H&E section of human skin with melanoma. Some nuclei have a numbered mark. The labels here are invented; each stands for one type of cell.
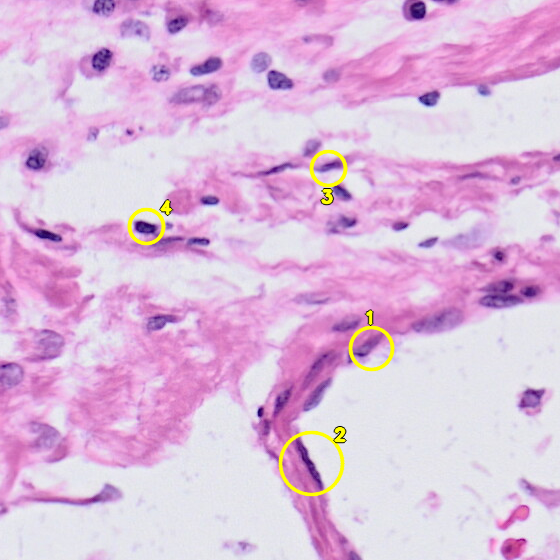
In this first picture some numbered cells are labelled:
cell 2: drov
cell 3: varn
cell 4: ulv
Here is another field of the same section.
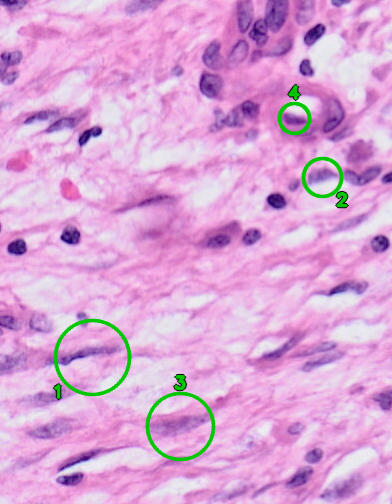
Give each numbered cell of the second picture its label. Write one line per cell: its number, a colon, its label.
1: varn
2: varn
3: varn
4: drov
